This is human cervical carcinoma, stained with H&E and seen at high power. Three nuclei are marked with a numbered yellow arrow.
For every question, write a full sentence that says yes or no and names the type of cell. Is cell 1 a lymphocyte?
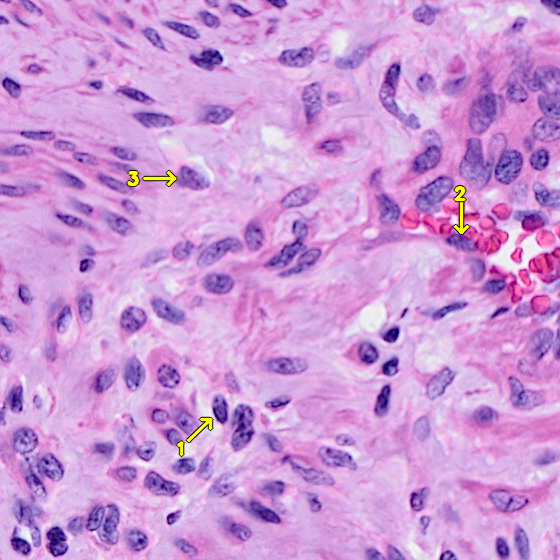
Yes, it checks out; the cell labelled 1 is a lymphocyte.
